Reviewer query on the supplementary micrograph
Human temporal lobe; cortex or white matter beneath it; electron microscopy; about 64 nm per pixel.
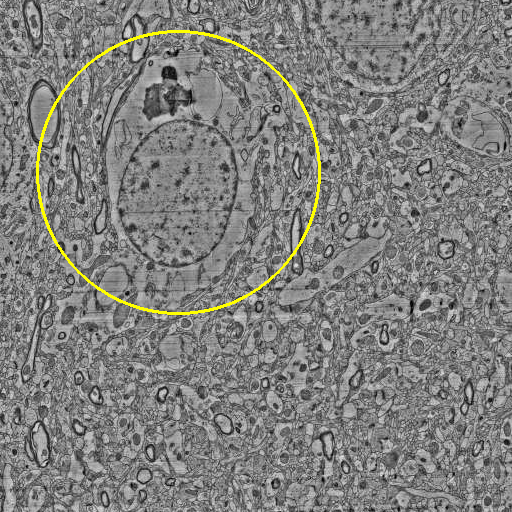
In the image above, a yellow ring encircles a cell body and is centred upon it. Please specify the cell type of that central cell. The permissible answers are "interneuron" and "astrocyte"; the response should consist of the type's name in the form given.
astrocyte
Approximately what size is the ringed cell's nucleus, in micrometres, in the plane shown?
The nucleus has a long axis of about 9 micrometres and a short axis of about 7 micrometres in this plane.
